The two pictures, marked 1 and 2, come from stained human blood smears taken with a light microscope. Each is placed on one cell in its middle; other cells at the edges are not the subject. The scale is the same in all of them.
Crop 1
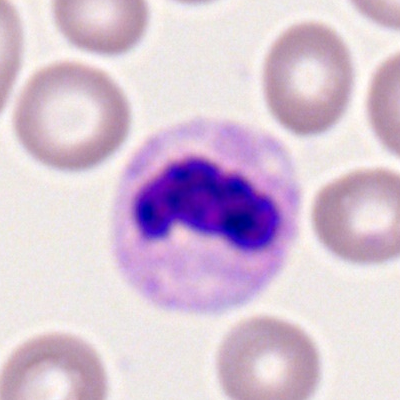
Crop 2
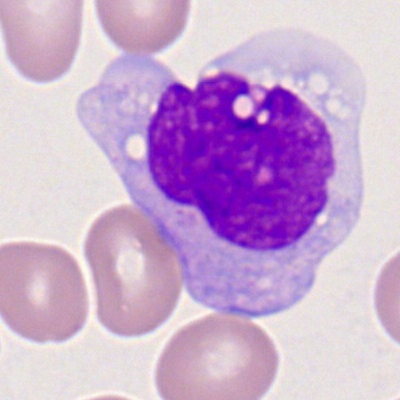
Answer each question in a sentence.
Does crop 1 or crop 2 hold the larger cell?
The cell in crop 2 is larger, with about 1.5 times the area of the one in crop 1.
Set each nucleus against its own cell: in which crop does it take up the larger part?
The nucleus fills more of the cell in crop 2 than in crop 1.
